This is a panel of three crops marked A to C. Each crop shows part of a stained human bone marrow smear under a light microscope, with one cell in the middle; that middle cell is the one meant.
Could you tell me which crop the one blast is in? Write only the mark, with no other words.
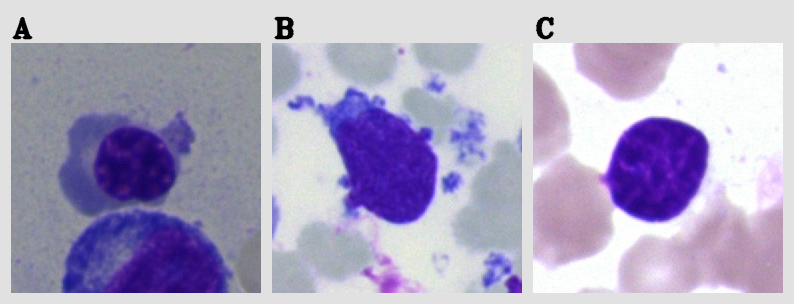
B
